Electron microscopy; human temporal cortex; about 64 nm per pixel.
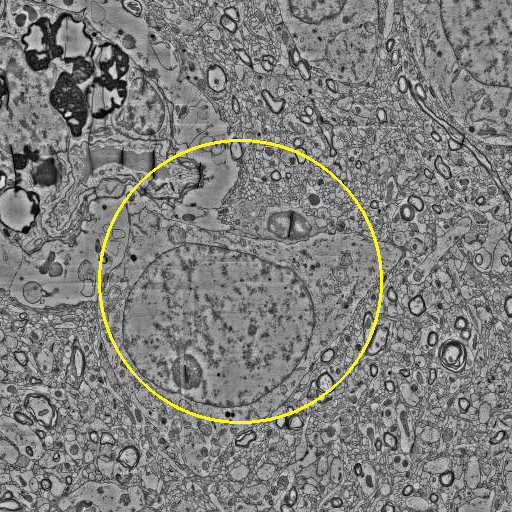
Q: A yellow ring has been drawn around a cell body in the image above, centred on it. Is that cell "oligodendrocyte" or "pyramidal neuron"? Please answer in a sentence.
The ring surrounds the cell body of a pyramidal neuron.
